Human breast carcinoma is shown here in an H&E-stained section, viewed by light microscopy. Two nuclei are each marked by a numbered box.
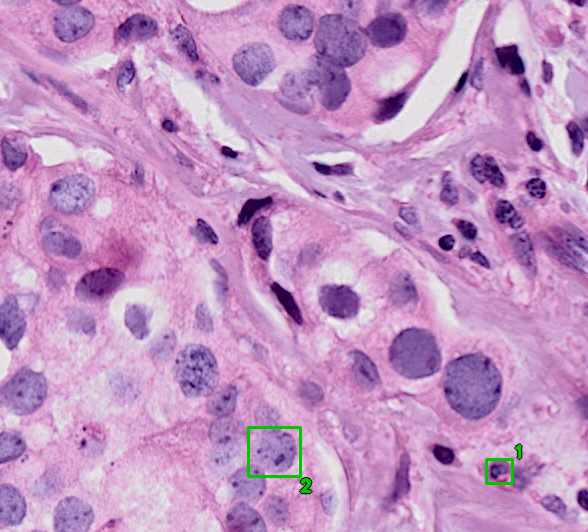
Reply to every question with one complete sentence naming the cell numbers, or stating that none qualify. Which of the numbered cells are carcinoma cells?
Of all the numbered cells, only cell 2 is a carcinoma cell.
